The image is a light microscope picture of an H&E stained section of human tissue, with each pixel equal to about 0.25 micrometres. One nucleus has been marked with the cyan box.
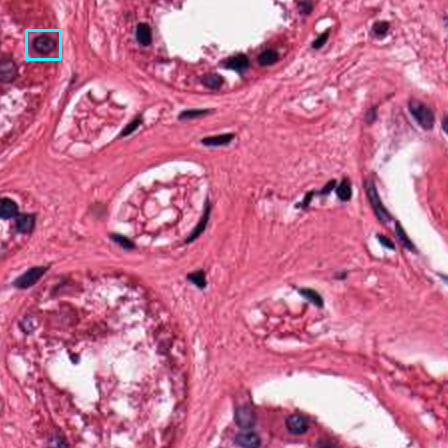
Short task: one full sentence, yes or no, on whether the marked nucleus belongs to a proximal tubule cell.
Yes, the marked nucleus belongs to a proximal tubule cell.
